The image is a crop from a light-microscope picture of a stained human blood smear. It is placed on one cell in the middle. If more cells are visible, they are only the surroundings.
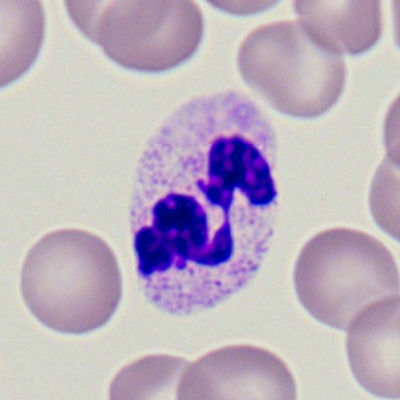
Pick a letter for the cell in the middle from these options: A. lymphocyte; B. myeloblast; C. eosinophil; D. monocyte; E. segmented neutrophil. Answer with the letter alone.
E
